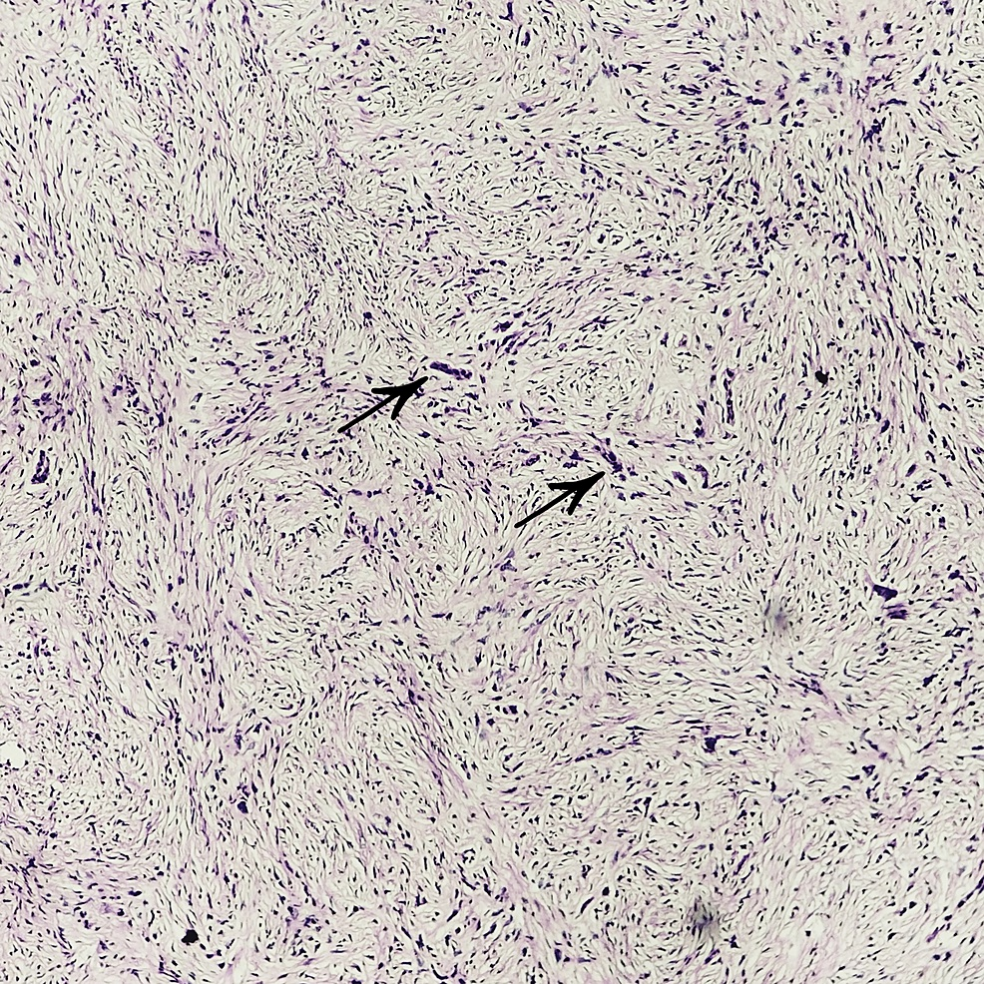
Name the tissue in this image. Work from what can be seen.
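Pale pink fibrillary matrix fills the field. Many spindle-shaped nuclei are scattered through the matrix in interlacing bundles. The answer: fibro cellular stroma.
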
